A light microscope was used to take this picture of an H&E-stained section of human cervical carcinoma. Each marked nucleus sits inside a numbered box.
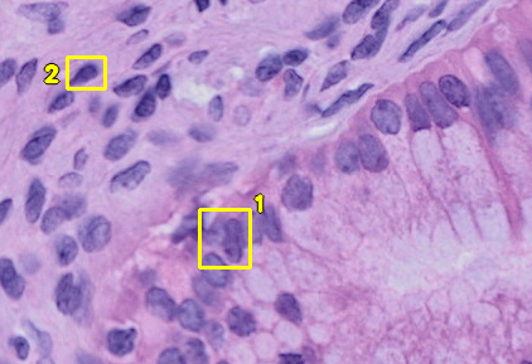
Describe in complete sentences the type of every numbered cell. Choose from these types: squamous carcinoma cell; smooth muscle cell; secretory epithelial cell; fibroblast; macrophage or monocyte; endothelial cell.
Cell 1 is a secretory epithelial cell. Cell 2 is a fibroblast.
